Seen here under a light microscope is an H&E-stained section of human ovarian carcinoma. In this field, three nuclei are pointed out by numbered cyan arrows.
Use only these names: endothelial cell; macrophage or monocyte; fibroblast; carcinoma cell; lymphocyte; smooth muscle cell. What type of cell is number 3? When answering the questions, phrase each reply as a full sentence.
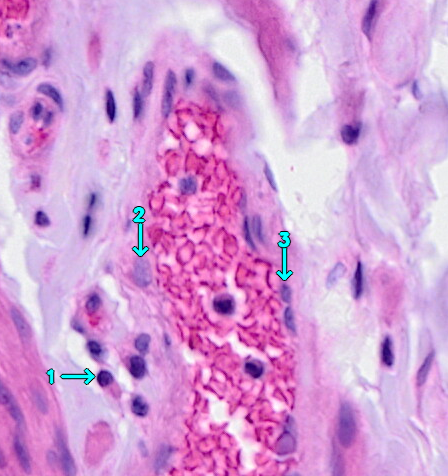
Identified by the number 3, the cell is an endothelial cell.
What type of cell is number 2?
The marked nucleus 2 is that of an endothelial cell.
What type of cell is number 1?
Cell 1 in the field of view is a lymphocyte.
